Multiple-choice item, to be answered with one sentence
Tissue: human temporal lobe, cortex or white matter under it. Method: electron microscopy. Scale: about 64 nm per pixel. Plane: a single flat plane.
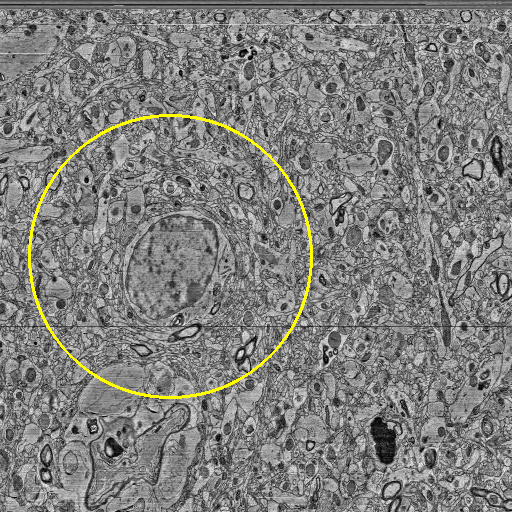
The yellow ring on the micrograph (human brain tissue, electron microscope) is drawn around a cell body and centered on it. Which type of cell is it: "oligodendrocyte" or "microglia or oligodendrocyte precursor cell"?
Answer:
The ring is centered on a microglial cell or oligodendrocyte precursor cell.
